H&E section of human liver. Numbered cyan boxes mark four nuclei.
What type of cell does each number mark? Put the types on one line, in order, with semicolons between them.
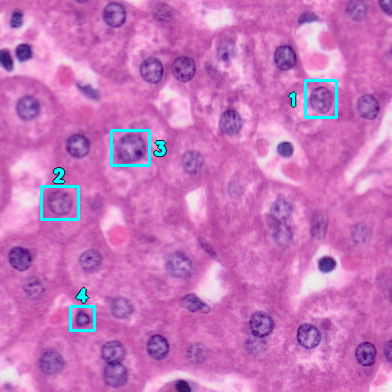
hepatocyte; hepatocyte; hepatocyte; fibroblast or stellate cell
